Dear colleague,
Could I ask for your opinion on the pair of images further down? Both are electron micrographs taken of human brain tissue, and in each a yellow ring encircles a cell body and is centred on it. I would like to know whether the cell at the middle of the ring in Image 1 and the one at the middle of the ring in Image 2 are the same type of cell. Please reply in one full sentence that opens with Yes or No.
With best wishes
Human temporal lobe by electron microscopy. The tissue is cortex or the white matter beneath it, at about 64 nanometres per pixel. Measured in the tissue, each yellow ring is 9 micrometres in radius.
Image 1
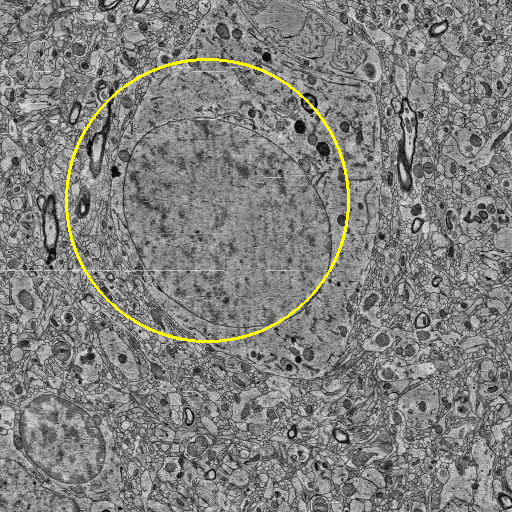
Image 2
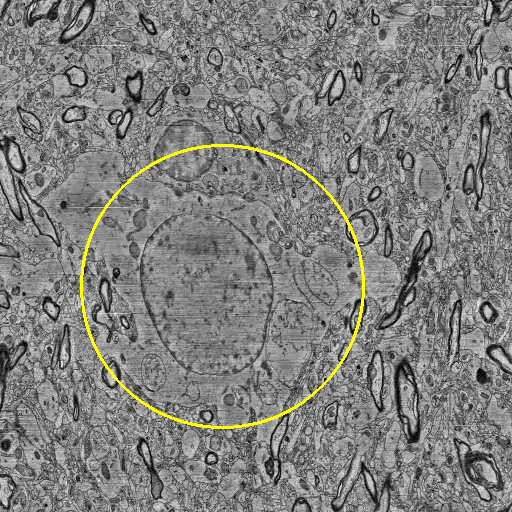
No, the cells at the ring centres in Image 1 and Image 2 are of two types.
